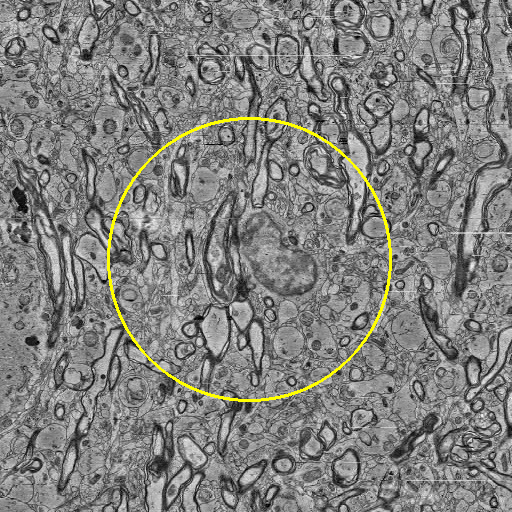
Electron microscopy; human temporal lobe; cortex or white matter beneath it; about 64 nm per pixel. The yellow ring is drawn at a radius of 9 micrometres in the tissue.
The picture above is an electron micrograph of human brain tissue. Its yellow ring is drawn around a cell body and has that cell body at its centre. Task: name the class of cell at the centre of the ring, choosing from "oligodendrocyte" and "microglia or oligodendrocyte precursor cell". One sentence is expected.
The ring surrounds the body of an oligodendrocyte.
